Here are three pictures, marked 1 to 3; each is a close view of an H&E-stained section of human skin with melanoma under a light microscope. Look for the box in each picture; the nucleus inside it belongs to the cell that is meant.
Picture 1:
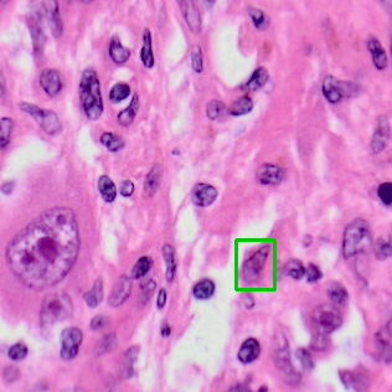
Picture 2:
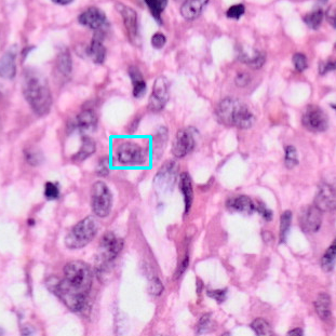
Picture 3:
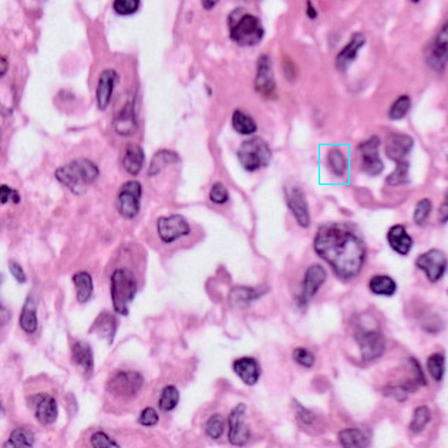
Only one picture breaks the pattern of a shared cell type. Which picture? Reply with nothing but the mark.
2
